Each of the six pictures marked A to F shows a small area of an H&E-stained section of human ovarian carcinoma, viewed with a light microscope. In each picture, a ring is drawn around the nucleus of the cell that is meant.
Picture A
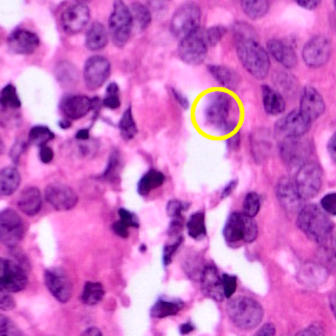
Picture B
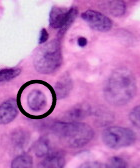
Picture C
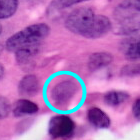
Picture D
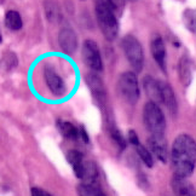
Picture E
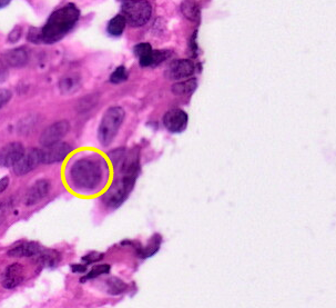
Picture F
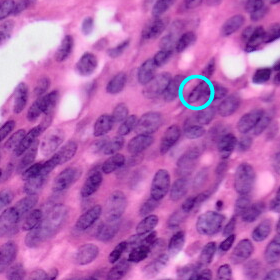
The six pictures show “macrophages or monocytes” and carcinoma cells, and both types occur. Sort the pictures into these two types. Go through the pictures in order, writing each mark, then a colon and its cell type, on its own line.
A: carcinoma cell
B: macrophage or monocyte
C: carcinoma cell
D: macrophage or monocyte
E: carcinoma cell
F: carcinoma cell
